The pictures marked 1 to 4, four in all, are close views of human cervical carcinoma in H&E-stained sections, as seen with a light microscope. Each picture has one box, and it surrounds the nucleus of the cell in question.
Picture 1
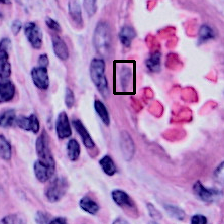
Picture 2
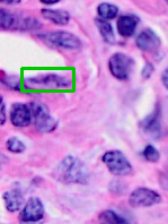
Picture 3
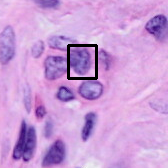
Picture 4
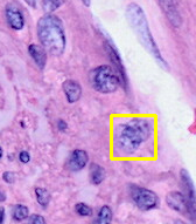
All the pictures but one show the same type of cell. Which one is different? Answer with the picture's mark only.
4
